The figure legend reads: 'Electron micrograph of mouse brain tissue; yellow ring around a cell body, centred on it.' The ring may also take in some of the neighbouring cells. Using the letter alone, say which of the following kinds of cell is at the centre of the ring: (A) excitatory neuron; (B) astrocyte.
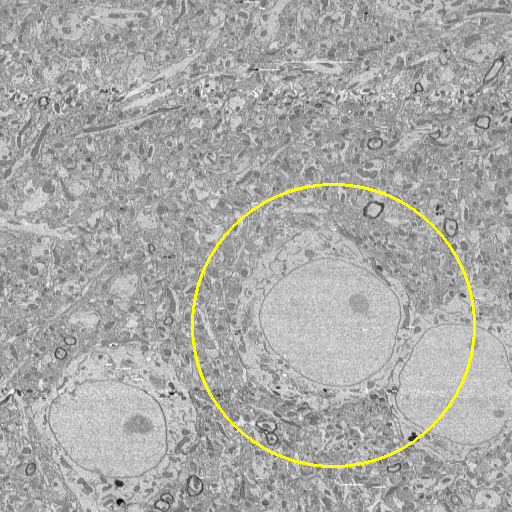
A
